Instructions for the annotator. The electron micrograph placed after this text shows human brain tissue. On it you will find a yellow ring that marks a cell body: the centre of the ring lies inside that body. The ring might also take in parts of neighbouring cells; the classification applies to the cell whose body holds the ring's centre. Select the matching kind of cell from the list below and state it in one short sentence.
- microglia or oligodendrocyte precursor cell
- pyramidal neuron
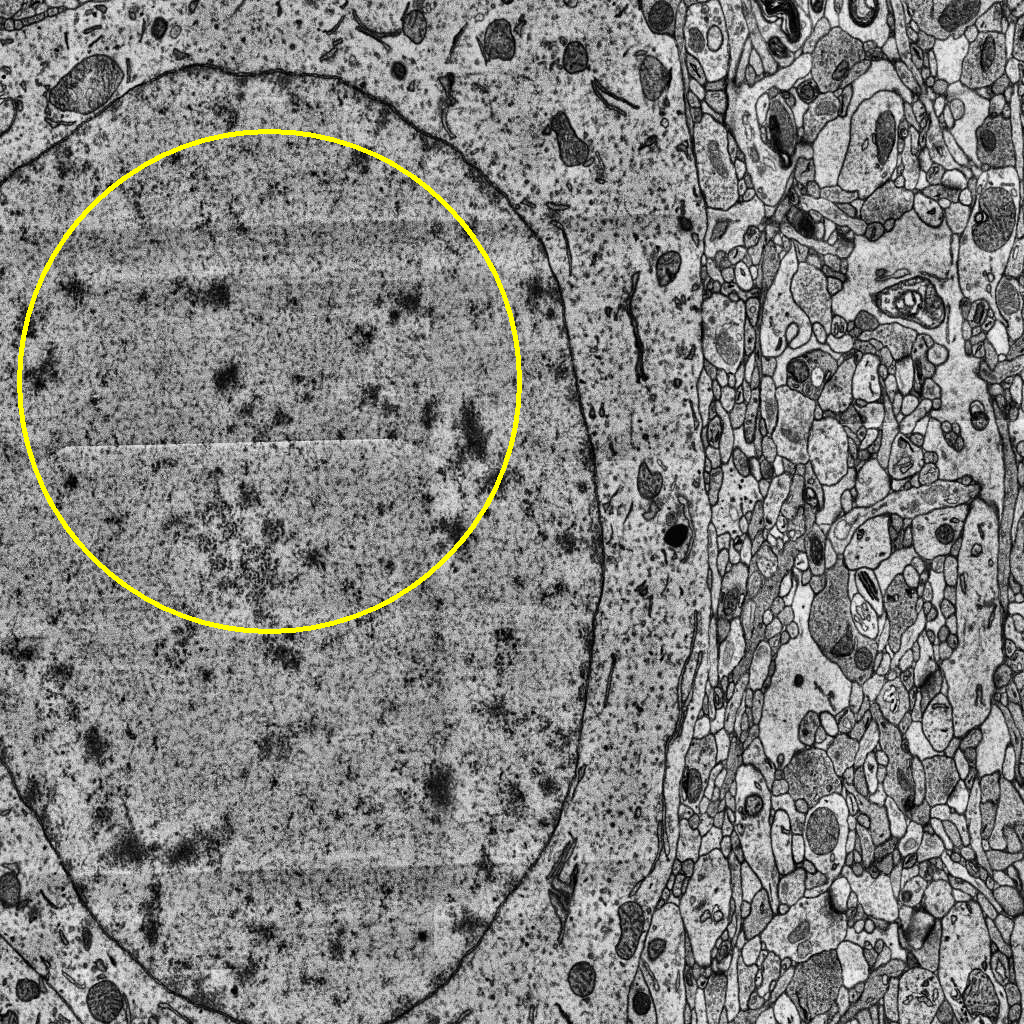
The centre of the ring lies in the cell body of a pyramidal neuron.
